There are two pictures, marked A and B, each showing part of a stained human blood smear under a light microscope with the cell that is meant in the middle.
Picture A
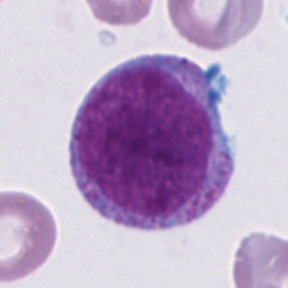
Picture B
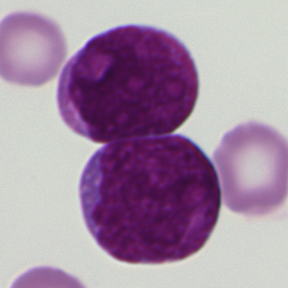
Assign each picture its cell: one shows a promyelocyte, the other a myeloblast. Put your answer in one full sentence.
Picture B shows a myeloblast, while picture A shows a promyelocyte.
